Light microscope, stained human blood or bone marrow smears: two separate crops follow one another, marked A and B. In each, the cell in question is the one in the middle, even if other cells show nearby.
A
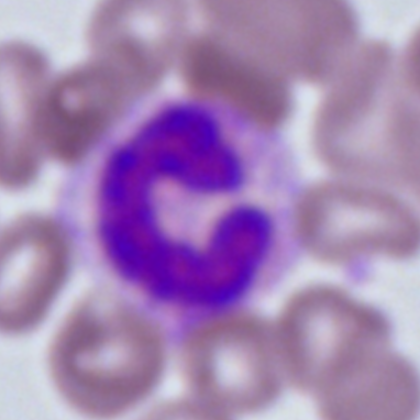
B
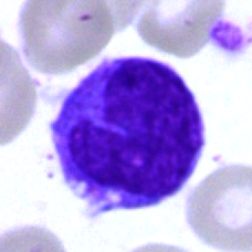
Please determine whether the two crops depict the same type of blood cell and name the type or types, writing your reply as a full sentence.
No, the cell centred in crop B is a monocyte; crop A centres on a band neutrophil.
